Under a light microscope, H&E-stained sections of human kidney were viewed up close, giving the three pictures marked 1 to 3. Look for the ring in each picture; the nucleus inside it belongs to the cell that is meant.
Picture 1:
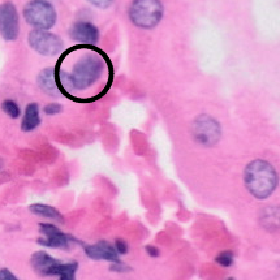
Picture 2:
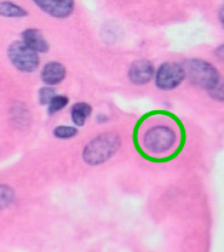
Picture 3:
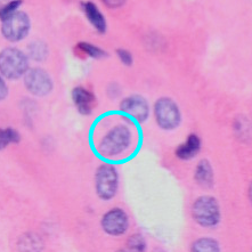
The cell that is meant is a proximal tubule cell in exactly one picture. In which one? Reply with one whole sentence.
Picture 2 shows the proximal tubule cell.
